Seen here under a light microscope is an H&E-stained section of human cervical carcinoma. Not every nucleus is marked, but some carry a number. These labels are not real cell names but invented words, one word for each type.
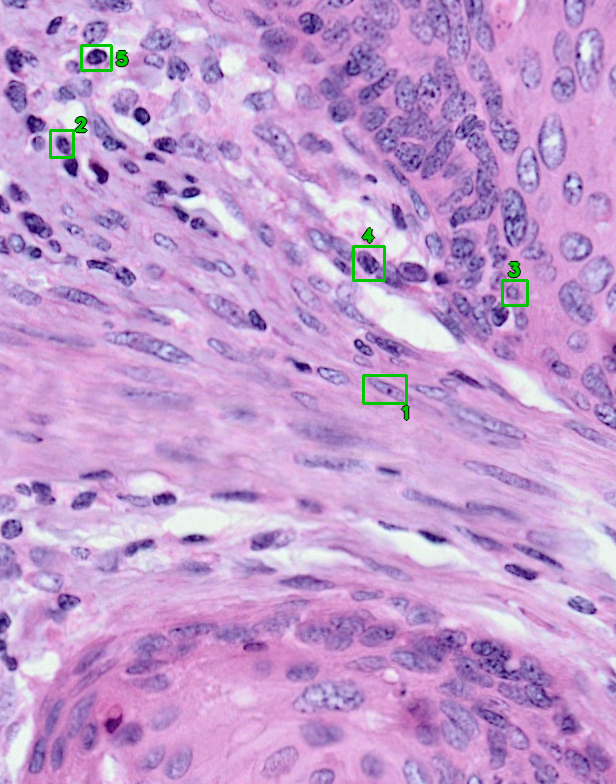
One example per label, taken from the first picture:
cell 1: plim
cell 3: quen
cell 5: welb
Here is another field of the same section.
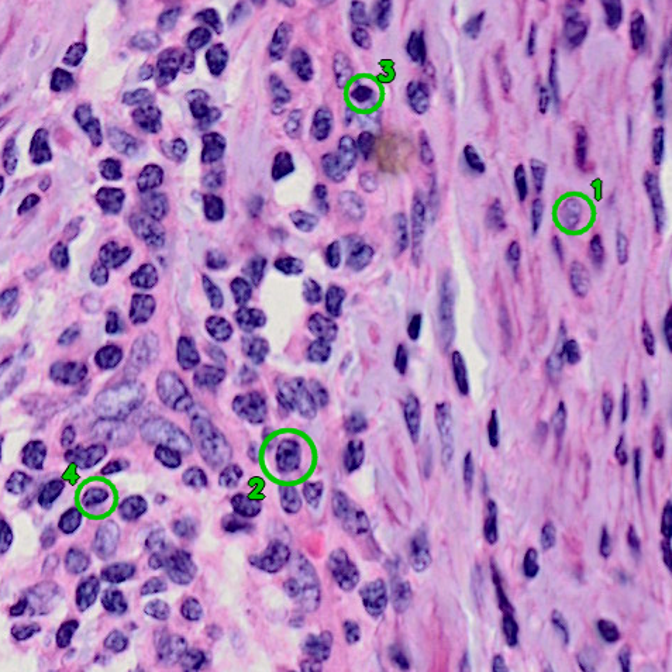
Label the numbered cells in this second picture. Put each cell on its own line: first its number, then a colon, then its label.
1: plim
2: welb
3: welb
4: welb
